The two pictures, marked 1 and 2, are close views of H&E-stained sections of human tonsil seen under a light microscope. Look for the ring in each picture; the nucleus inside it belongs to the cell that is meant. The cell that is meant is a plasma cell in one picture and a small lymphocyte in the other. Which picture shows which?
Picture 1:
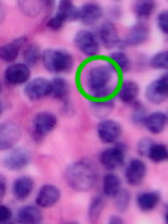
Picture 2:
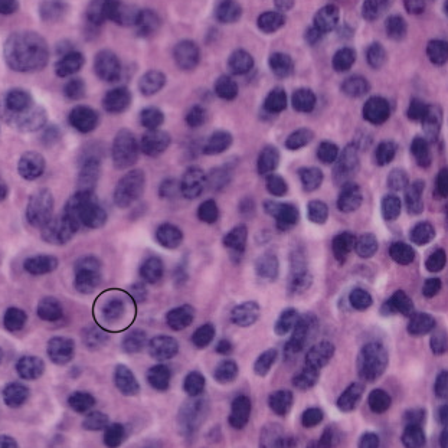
1: small lymphocyte
2: plasma cell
